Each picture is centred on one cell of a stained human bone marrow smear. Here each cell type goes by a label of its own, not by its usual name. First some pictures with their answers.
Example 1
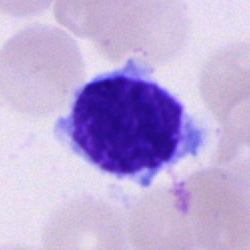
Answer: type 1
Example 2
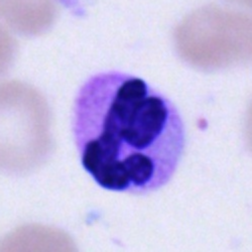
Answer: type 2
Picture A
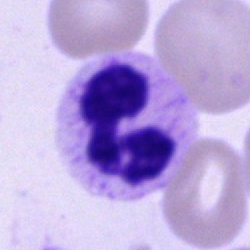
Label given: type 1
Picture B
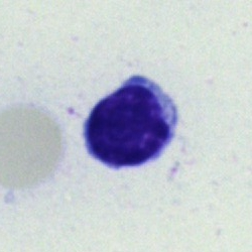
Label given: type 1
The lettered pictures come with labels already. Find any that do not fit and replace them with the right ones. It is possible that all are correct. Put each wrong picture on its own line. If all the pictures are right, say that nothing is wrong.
Wrong: A (type 1); correct: type 2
